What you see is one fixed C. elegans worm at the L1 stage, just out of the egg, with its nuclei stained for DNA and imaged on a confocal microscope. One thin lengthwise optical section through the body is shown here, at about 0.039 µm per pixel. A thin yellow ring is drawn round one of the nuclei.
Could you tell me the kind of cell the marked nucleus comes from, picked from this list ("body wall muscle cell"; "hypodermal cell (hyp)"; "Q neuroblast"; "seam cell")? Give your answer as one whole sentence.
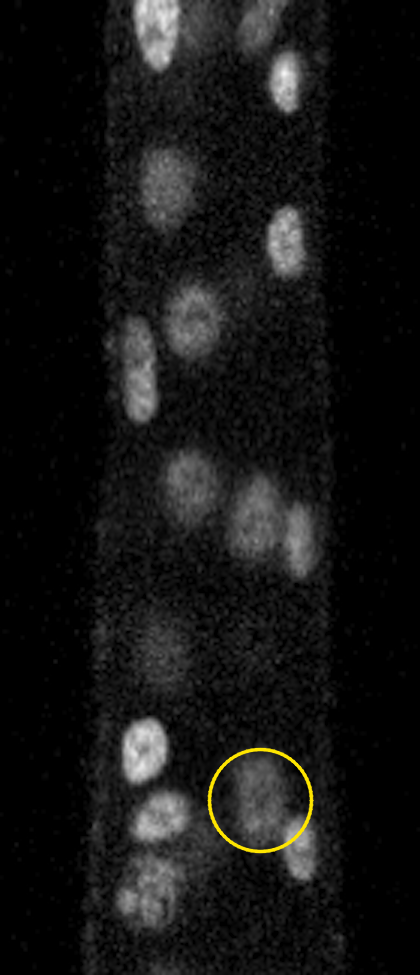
This nucleus is from a hypodermal cell (hyp).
